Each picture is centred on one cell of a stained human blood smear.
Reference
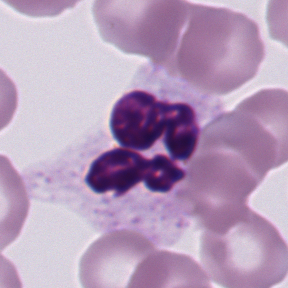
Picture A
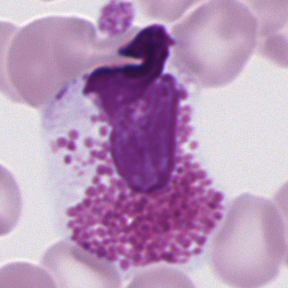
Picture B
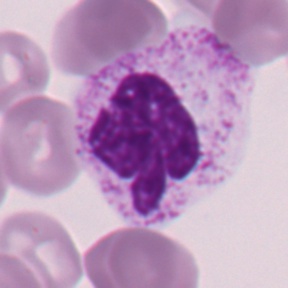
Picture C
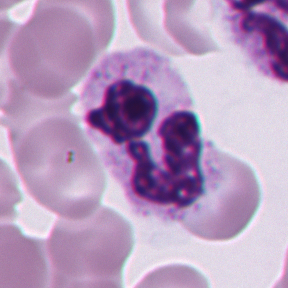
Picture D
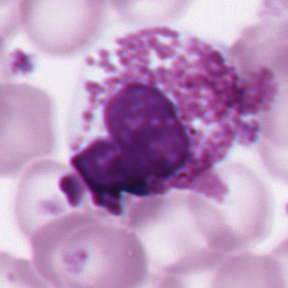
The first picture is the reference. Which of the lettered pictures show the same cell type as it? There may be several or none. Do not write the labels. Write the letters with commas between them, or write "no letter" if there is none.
B, C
